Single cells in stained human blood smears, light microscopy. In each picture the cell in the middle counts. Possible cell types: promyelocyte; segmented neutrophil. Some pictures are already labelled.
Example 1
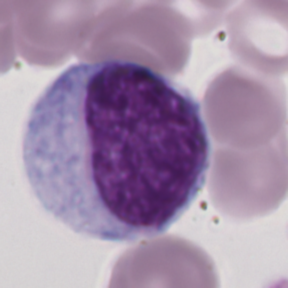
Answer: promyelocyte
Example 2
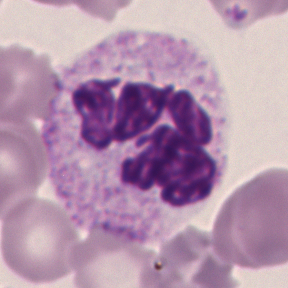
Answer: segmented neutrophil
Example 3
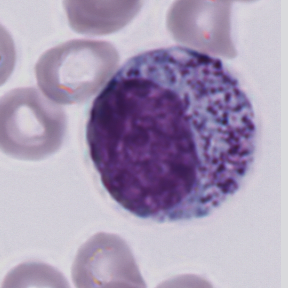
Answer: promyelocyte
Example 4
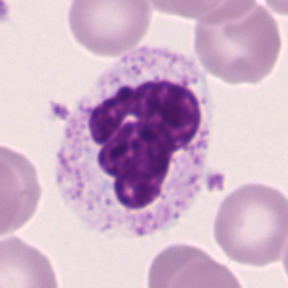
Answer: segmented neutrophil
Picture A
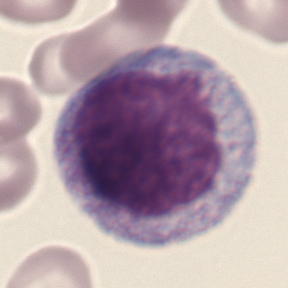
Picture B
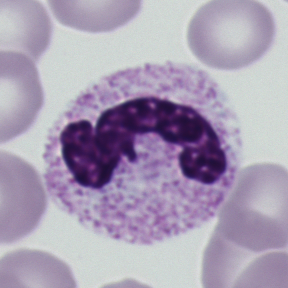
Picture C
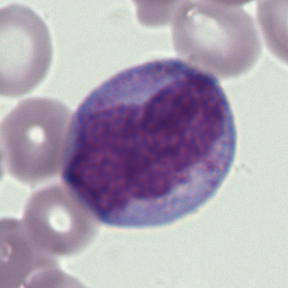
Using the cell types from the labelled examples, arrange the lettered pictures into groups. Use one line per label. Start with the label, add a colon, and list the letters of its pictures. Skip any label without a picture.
promyelocyte: A, C
segmented neutrophil: B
